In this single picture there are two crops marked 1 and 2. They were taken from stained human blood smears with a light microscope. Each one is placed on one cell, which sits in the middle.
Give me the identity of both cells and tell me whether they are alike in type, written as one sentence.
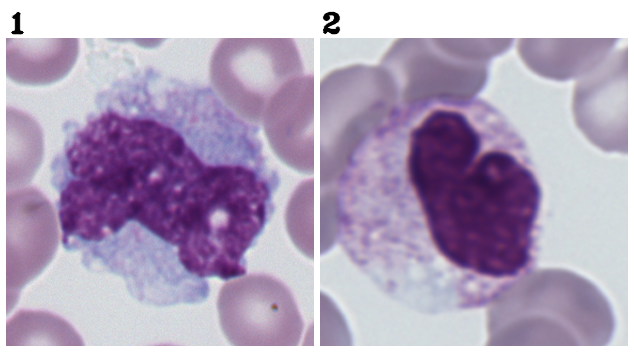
No, the cell in crop 1 is a monocyte and the one in crop 2 is a band neutrophil.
